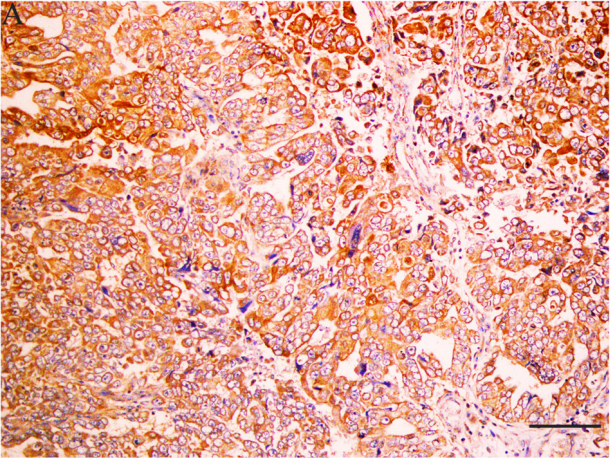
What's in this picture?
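This field shows a carcinoma made of crowded sheets and small clusters of tumour cells with only thin strands of stroma between them. The cells have moderate amounts of cytoplasm that stains brown in varying intensity. Their nuclei are large, round to oval and vesicular, many with a conspicuous nucleolus. No keratin pearls or orderly layering are seen, and small clefts and spaces separate groups of cells. A few scattered cells have dark, enlarged blue nuclei.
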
